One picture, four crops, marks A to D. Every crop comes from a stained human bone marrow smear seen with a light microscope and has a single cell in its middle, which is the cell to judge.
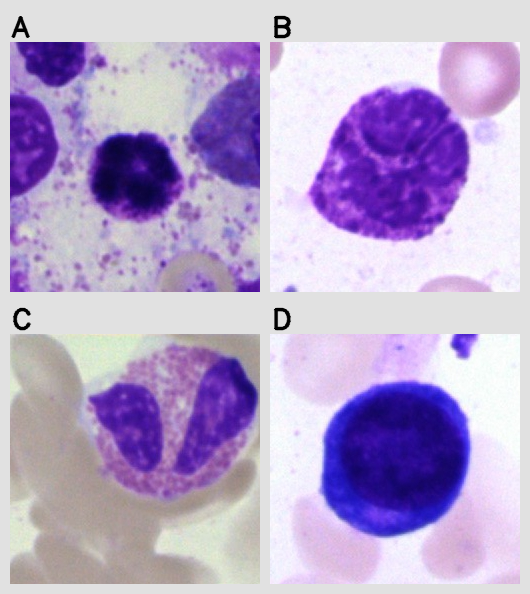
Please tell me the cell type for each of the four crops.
A: basophil
B: basophil
C: eosinophil
D: proerythroblast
